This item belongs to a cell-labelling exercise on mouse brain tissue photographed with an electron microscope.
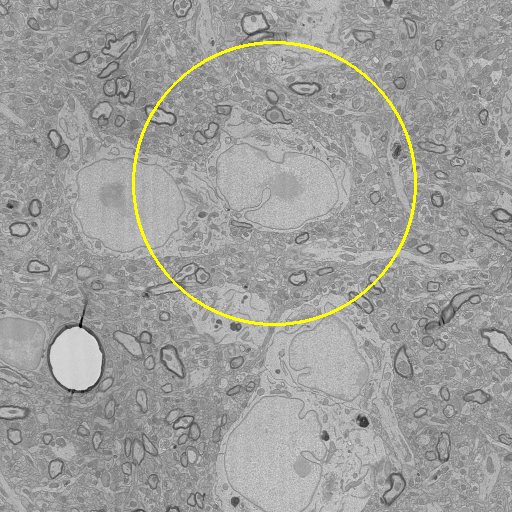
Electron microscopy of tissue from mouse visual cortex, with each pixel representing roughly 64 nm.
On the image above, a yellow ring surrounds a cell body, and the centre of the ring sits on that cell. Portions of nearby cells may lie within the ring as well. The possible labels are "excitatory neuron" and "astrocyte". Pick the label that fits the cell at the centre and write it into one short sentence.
This cell should be labelled as an excitatory neuron.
